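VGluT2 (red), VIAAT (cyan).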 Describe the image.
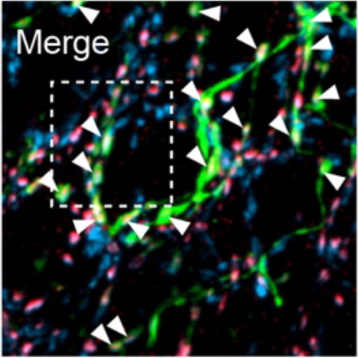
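Green beaded axons with terminal swellings run through a dense field of small red and cyan puncta. At many of the green swellings the red and cyan puncta overlap with the green, while many other cyan and red puncta lie apart from the green fibers.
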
